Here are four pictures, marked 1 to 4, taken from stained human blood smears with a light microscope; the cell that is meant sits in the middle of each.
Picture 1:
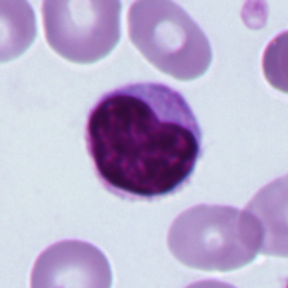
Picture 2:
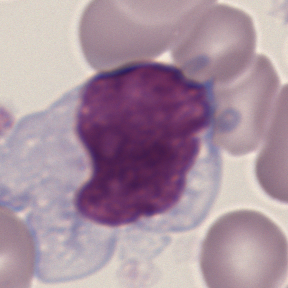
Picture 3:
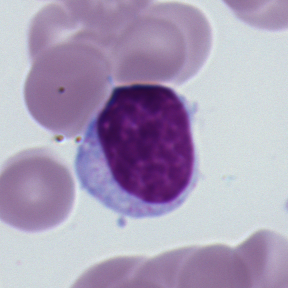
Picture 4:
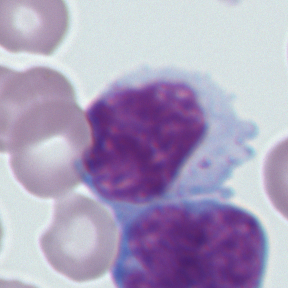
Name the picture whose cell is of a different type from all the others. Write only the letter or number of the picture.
2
